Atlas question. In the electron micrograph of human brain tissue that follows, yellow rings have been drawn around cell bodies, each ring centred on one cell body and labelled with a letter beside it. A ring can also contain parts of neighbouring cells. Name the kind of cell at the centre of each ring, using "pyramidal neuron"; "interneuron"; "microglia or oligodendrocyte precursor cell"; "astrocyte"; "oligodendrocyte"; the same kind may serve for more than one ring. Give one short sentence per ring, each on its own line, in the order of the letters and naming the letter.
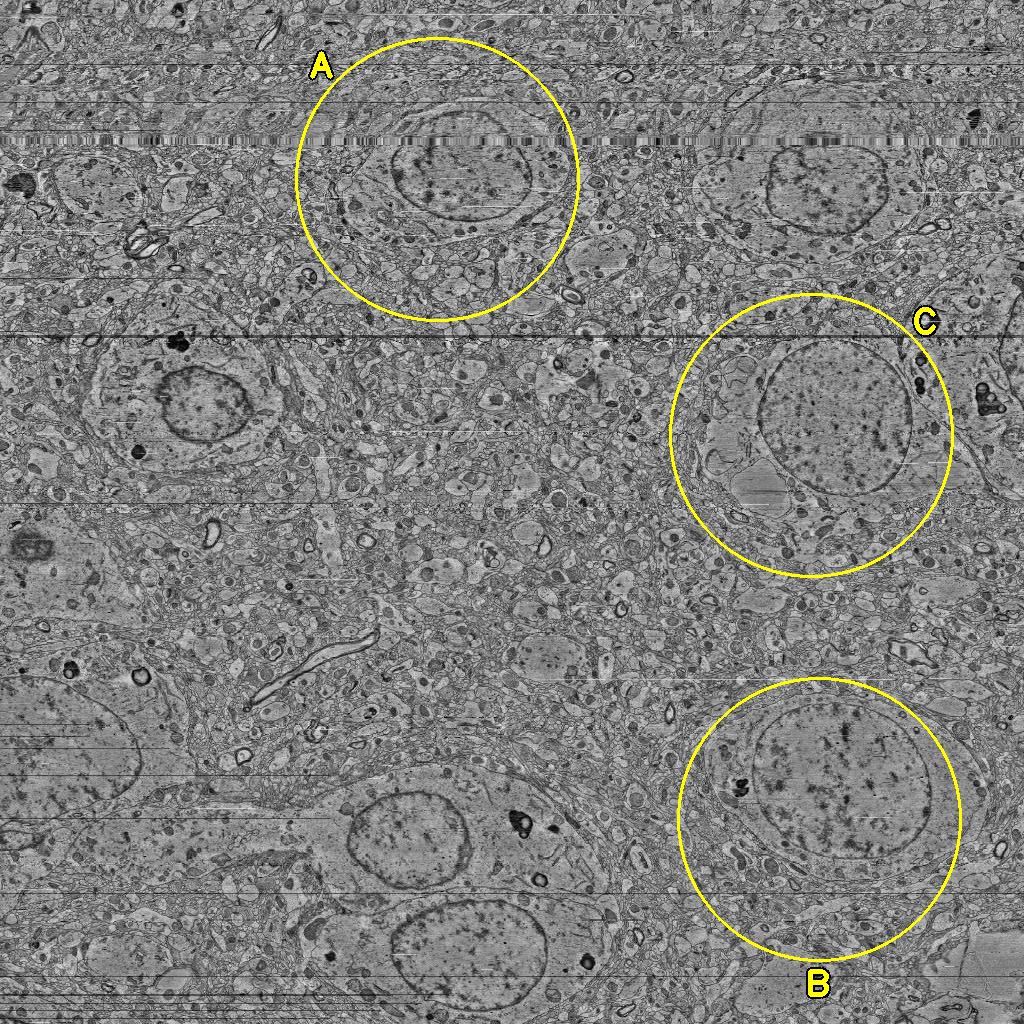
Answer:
For ring A, the cell at the centre is a pyramidal neuron.
For ring B, the cell at the centre is a pyramidal neuron.
For ring C, the cell at the centre is an astrocyte.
